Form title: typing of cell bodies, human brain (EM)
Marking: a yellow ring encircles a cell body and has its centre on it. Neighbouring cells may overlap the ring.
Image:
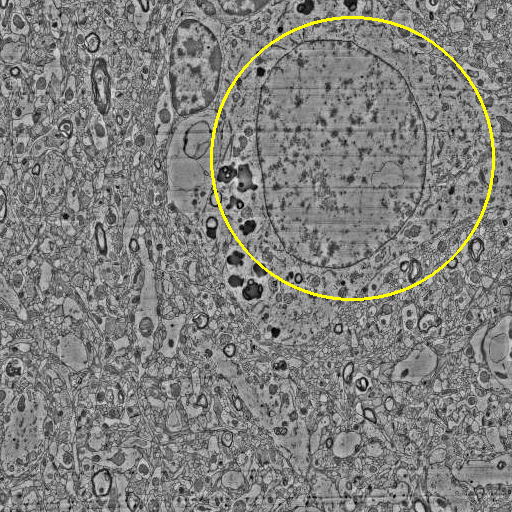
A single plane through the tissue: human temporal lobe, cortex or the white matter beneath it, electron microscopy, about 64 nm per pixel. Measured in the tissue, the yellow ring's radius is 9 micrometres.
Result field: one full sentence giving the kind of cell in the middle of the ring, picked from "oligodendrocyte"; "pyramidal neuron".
In the picture, the ring is centred on a pyramidal neuron, whose cell body it encircles.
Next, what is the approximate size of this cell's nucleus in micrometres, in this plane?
The nucleus has a long axis of about 15 micrometres and a short axis of about 11 micrometres in this plane.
